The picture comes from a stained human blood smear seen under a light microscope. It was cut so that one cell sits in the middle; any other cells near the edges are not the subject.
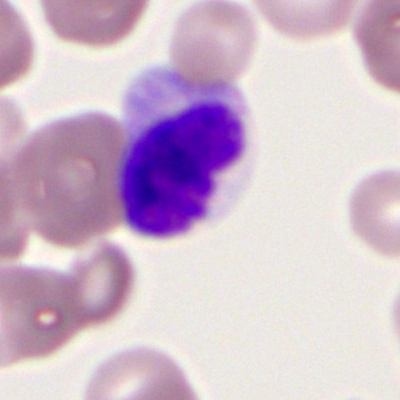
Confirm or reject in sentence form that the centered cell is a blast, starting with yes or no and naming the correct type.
No, the cell positioned in the middle is a lymphocyte, not a blast.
